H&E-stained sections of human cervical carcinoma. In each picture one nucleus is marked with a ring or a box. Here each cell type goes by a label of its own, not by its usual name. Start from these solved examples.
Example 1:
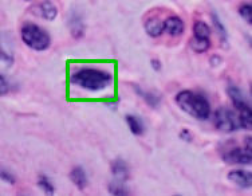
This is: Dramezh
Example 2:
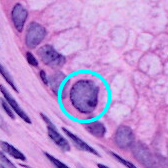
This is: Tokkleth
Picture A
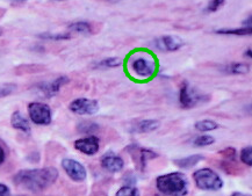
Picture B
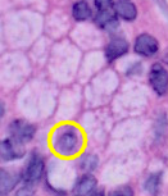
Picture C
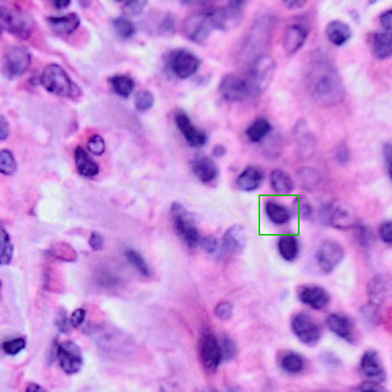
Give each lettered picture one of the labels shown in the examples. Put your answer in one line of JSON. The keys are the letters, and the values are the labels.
{"A": "Dramezh", "B": "Tokkleth", "C": "Dramezh"}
